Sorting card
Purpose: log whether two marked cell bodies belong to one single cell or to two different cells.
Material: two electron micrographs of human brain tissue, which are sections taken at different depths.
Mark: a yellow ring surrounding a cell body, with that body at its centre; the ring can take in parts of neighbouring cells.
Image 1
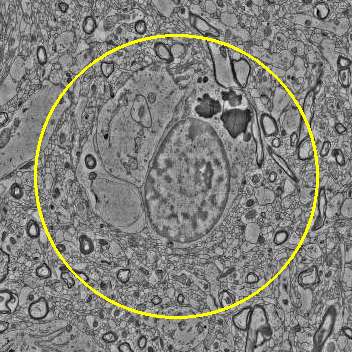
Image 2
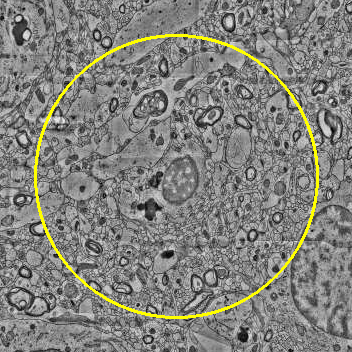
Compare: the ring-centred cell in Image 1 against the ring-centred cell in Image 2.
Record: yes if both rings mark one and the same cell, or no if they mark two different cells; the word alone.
yes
